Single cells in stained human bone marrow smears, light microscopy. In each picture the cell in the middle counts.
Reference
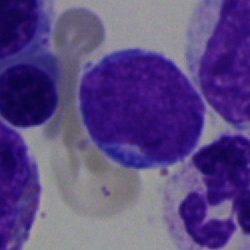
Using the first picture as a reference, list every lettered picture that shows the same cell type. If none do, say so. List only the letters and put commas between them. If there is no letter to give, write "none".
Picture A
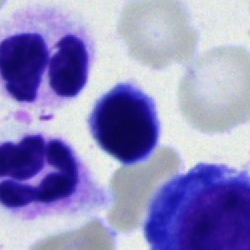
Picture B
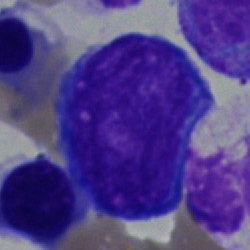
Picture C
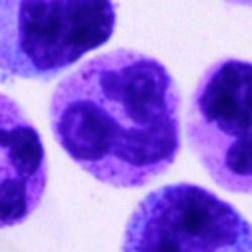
A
